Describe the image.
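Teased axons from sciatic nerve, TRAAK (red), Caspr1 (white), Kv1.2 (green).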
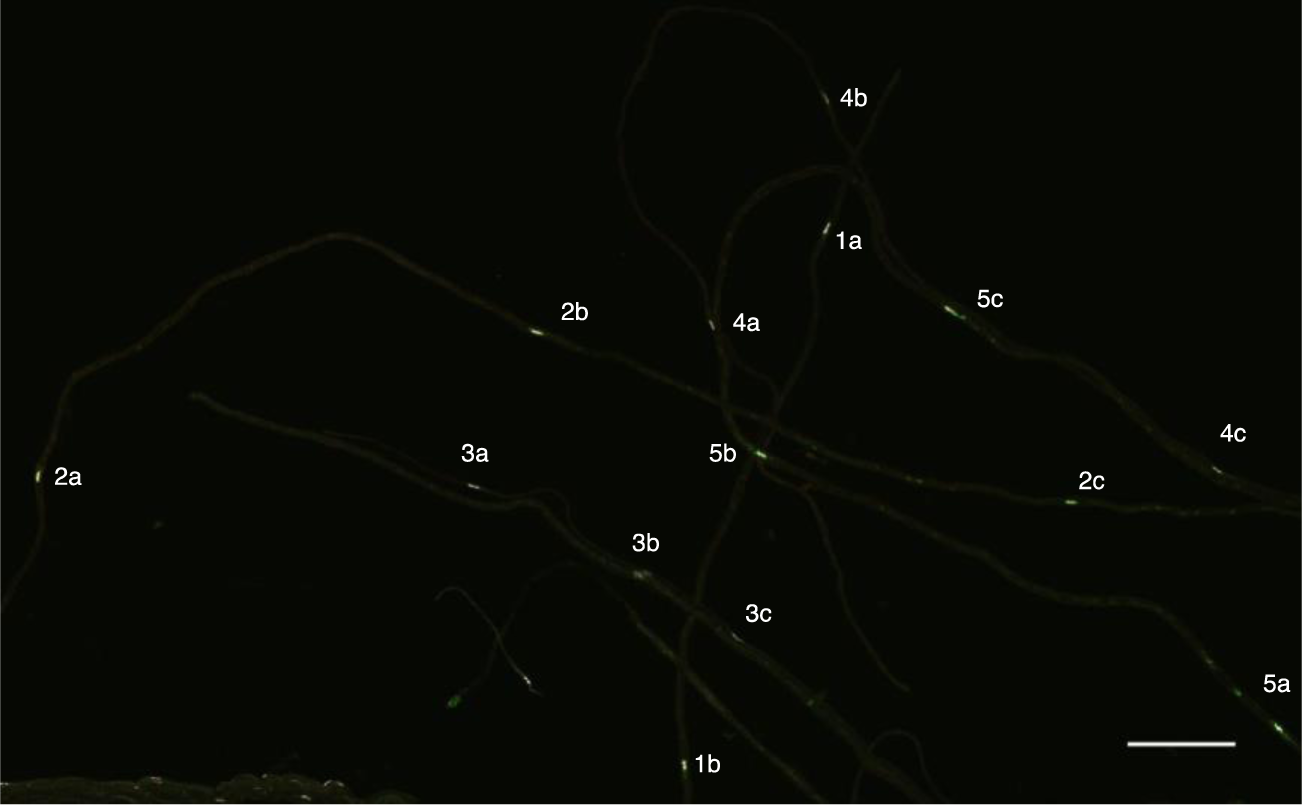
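Several long, thin, dimly glowing fibres cross and wind over a dark background, each traceable over a long distance. At intervals along each fibre sits a short, bright white-green spot, standing out against the faint length of fibre on either side. These bright spots mark the nodes, with the long dim stretches between them being internode segments. The fibres overlap at several places but each can be followed from node to node.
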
